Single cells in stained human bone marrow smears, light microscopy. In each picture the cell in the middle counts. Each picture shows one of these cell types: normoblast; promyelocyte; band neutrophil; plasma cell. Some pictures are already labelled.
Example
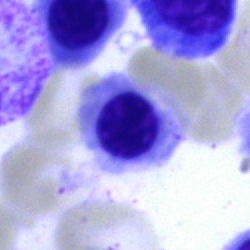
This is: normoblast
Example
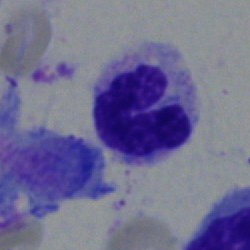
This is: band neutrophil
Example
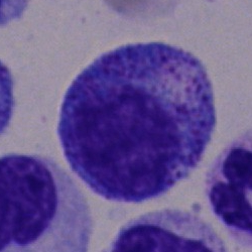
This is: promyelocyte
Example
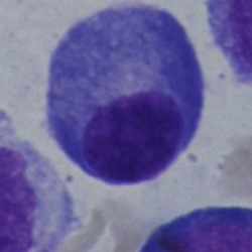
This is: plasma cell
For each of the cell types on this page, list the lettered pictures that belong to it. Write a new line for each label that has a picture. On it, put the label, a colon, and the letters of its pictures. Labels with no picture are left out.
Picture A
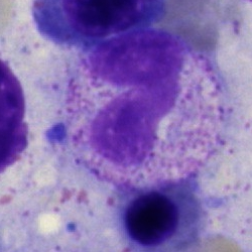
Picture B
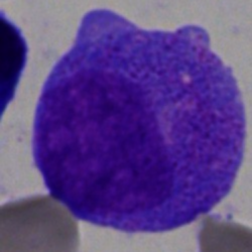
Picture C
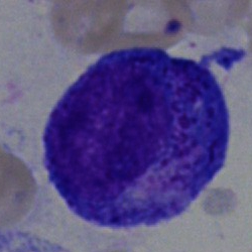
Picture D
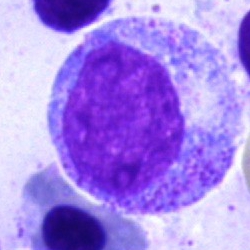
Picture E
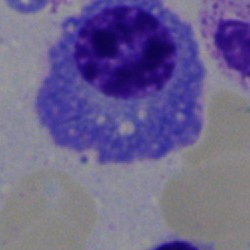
promyelocyte: B, C, D
band neutrophil: A
plasma cell: E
